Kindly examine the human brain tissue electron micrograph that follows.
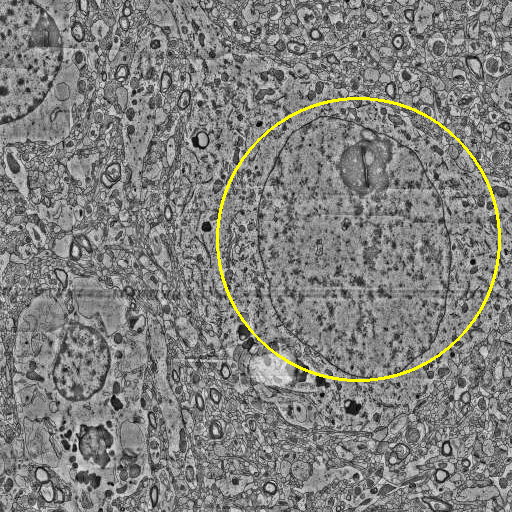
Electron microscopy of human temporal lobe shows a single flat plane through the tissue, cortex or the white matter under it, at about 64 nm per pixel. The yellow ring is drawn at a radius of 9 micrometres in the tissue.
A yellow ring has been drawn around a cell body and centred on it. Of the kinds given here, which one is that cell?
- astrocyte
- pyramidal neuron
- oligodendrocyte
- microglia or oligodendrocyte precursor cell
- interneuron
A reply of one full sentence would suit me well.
The micrograph's ringed cell, the one at the ring's centre, is a pyramidal neuron.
